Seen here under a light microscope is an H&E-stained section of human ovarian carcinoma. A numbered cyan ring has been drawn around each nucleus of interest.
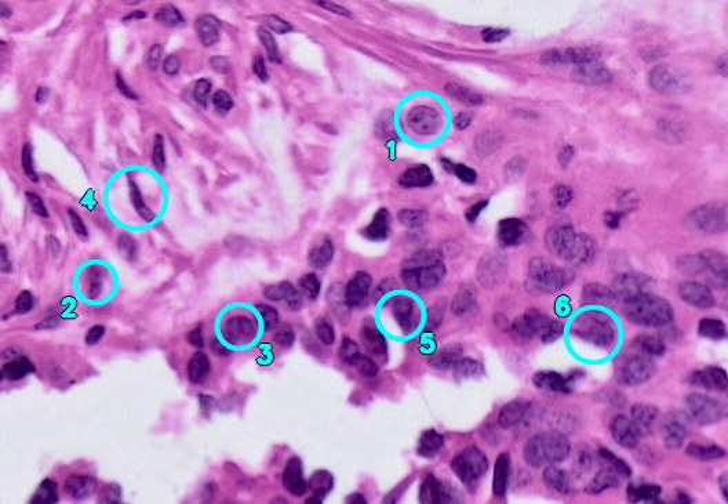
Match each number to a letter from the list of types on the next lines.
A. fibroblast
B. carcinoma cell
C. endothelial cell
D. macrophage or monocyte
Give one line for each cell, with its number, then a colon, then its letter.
1: D
2: A
3: B
4: A
5: B
6: B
